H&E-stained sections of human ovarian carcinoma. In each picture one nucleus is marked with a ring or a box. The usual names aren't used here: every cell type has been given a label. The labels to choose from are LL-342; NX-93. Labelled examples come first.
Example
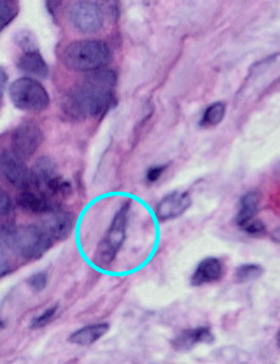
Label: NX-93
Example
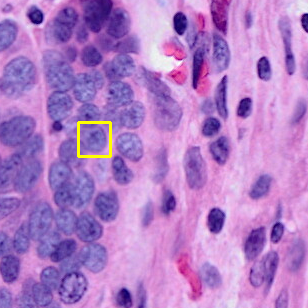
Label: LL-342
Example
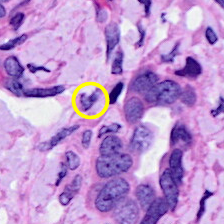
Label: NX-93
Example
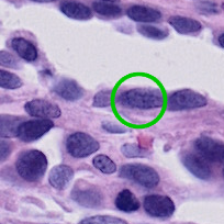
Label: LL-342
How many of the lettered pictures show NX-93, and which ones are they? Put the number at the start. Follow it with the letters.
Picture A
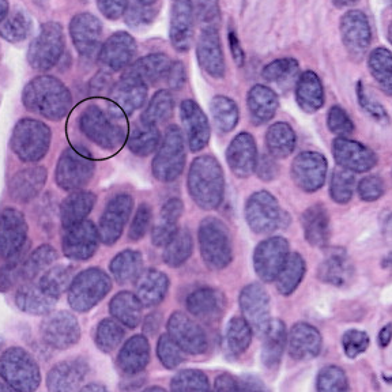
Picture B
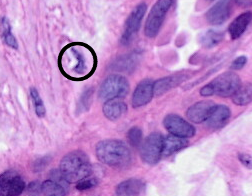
Count: 1 (B)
